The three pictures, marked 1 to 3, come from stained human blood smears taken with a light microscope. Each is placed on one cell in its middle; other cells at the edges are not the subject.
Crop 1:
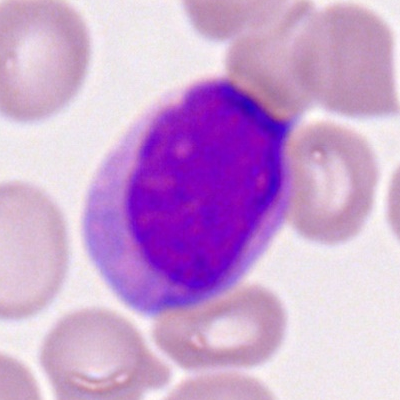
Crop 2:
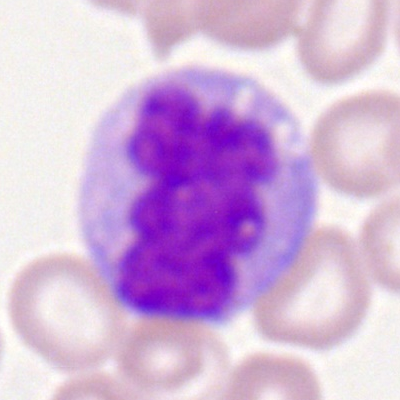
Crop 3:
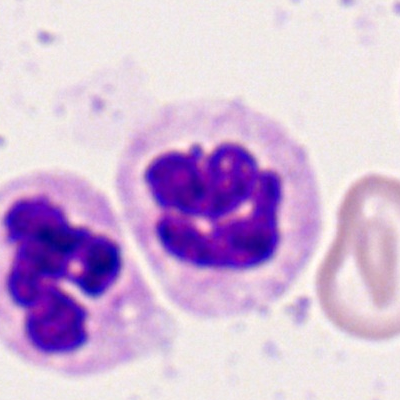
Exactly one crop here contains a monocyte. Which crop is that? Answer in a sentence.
Crop 2 is the crop containing a monocyte.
